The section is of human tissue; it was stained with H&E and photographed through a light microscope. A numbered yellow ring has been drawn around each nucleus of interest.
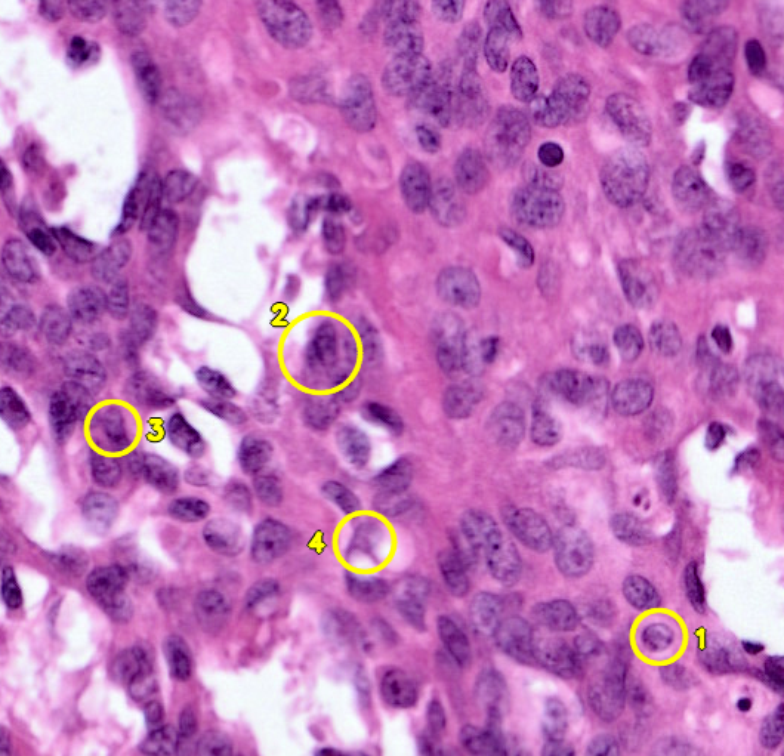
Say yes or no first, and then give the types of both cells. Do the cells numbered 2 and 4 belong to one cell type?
Yes, with respect to identity, cells 2 and 4 are both carcinoma cells.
